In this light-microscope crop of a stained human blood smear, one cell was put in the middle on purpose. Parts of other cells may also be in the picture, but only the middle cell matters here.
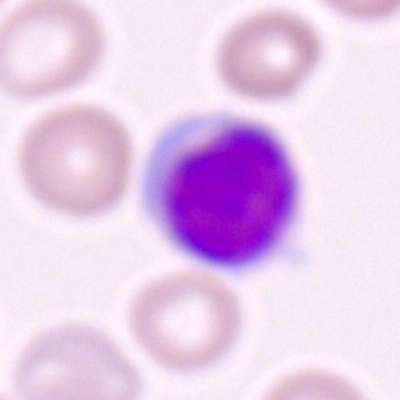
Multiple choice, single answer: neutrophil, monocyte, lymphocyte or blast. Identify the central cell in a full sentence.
The cell at the middle of the frame should be recorded as a lymphocyte.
